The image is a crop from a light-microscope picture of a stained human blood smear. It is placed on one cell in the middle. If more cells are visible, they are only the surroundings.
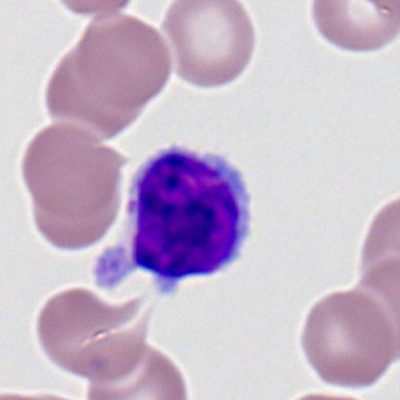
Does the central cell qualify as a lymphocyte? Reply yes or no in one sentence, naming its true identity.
Yes, the cell in the central position is a lymphocyte.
